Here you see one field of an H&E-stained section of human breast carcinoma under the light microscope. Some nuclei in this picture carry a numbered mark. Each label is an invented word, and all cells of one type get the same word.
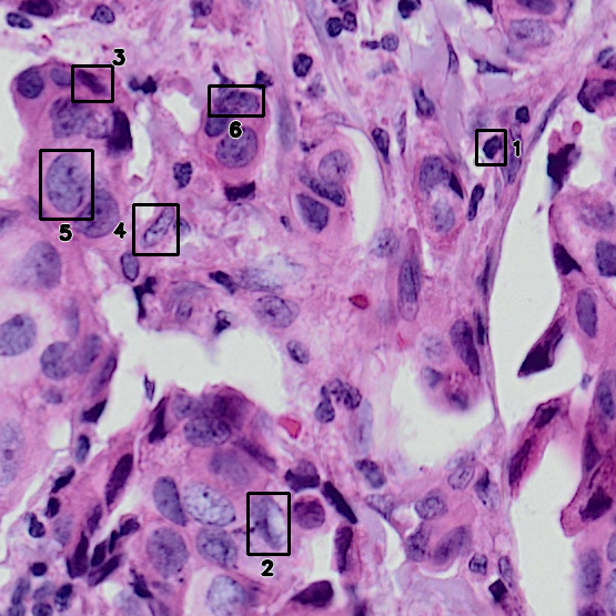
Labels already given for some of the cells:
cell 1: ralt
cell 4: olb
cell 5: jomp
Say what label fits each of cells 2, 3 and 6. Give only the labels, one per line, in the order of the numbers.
jomp
jomp
jomp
